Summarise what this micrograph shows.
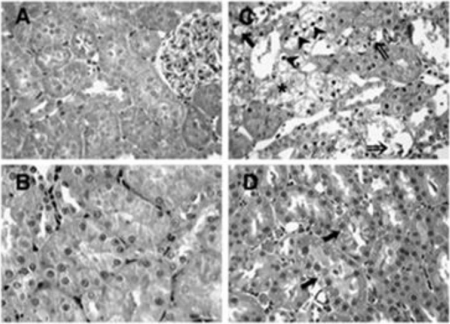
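Four grey-toned views of renal cortex show tubules lined by cuboidal epithelial cells with round nuclei; the upper left view also includes a glomerulus. In the two left views, the tubules are closely packed and regular. In the upper right view, the tubular epithelium is disrupted by large clear vacuoles, with small dense dark nuclei and pale disorganised areas. In the lower right view, the tubules are largely preserved, with only small clear spaces in the epithelial cytoplasm.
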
